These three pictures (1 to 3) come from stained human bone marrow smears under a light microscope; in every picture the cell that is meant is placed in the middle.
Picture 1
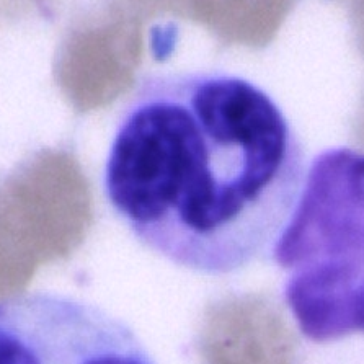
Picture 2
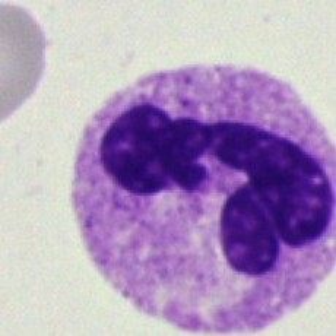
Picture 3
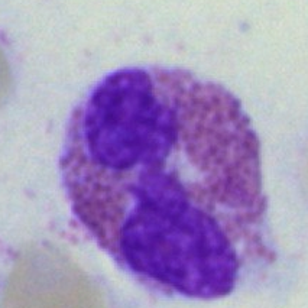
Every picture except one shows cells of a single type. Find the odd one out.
3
